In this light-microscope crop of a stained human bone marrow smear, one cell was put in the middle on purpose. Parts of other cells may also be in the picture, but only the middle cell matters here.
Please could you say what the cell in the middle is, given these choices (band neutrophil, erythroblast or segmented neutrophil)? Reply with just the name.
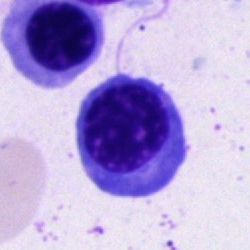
erythroblast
